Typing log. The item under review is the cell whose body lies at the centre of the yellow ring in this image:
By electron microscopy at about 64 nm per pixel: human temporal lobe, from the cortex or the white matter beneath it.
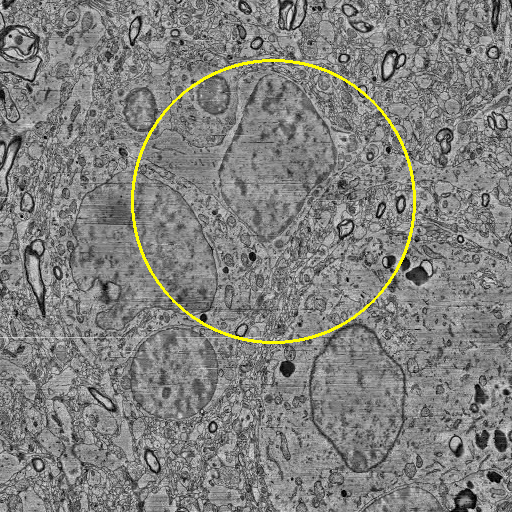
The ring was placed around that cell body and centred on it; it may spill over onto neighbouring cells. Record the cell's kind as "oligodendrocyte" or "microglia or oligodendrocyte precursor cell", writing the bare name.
microglia or oligodendrocyte precursor cell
